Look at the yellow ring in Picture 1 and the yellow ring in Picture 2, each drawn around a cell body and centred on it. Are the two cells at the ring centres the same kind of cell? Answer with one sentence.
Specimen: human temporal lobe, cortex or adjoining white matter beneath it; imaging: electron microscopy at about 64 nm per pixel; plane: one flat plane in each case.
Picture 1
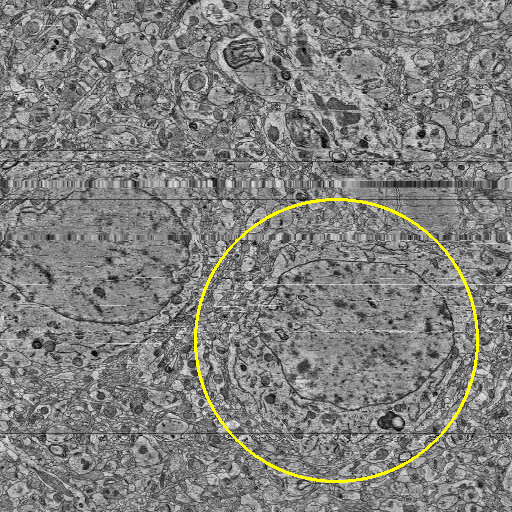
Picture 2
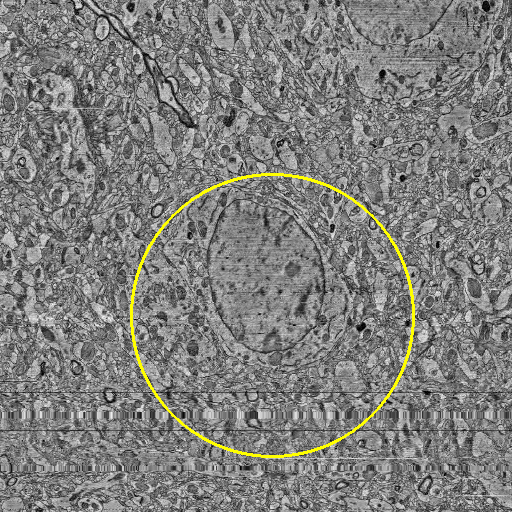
Yes, both are the same kind of cell.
